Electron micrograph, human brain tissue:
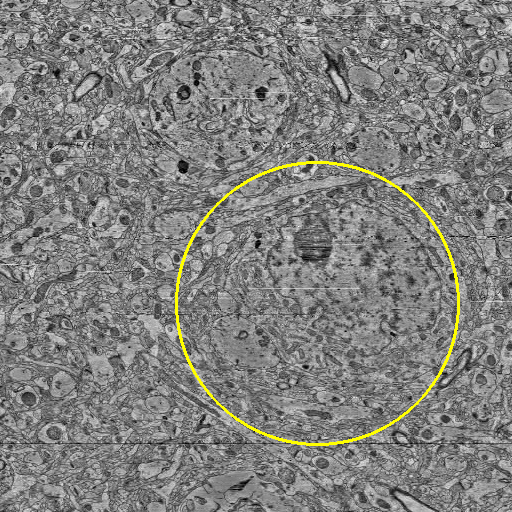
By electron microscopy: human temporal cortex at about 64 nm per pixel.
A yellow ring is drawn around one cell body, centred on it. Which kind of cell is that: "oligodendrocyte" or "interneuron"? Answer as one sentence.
It is an interneuron at the centre of the ring.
